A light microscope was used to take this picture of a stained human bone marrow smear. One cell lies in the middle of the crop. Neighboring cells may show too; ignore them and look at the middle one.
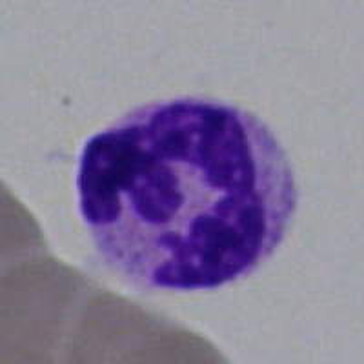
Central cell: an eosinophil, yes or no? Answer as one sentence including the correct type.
No, an eosinophil is not what the central cell is; it is a segmented neutrophil.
